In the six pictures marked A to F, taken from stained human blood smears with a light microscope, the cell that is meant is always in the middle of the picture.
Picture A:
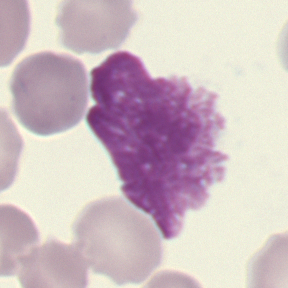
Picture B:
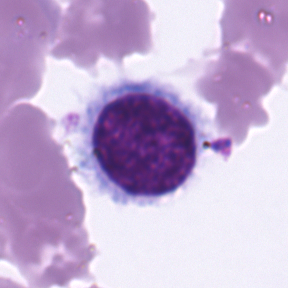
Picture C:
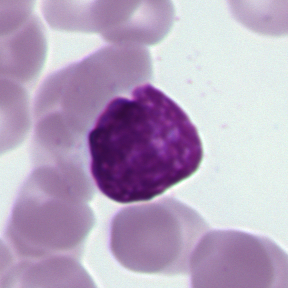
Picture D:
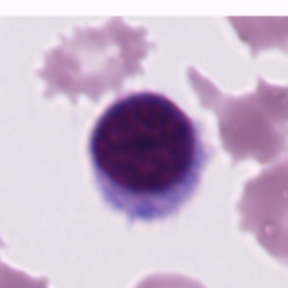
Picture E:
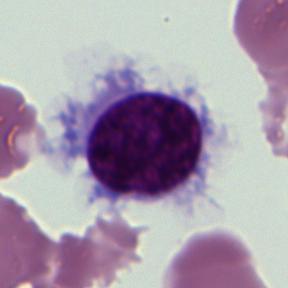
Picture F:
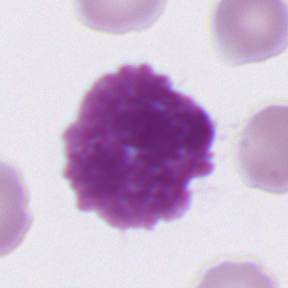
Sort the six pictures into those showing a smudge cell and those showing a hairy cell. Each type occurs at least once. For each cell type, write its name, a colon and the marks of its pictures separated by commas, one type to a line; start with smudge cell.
smudge cell: A, C, F
hairy cell: B, D, E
